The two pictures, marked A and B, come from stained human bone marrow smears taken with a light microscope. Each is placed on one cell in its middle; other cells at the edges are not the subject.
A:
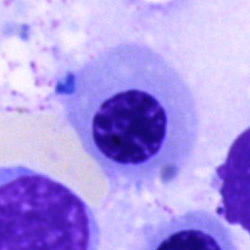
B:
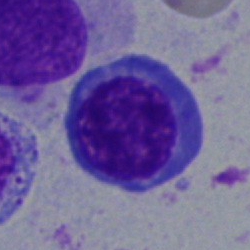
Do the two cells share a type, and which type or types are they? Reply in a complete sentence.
Yes, both of the crops in this pair show erythroblasts, one cell in each crop.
